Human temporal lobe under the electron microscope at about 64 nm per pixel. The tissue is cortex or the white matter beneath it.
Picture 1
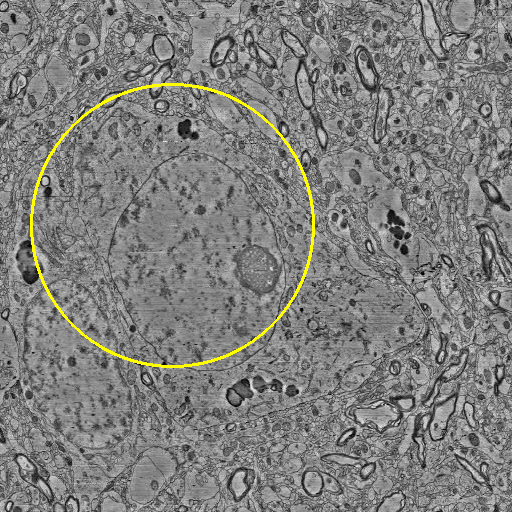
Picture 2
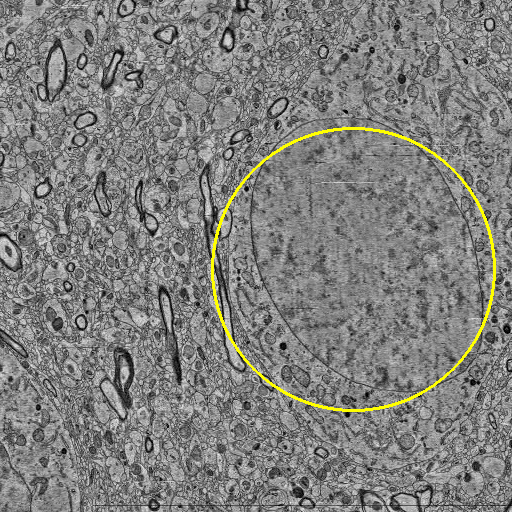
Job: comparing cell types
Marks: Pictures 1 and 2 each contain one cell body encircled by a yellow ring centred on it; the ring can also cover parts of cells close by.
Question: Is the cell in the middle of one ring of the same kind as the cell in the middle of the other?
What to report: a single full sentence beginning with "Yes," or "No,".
Yes, the cell at the ring centre in Picture 1 and its partner in Picture 2 are of one kind.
